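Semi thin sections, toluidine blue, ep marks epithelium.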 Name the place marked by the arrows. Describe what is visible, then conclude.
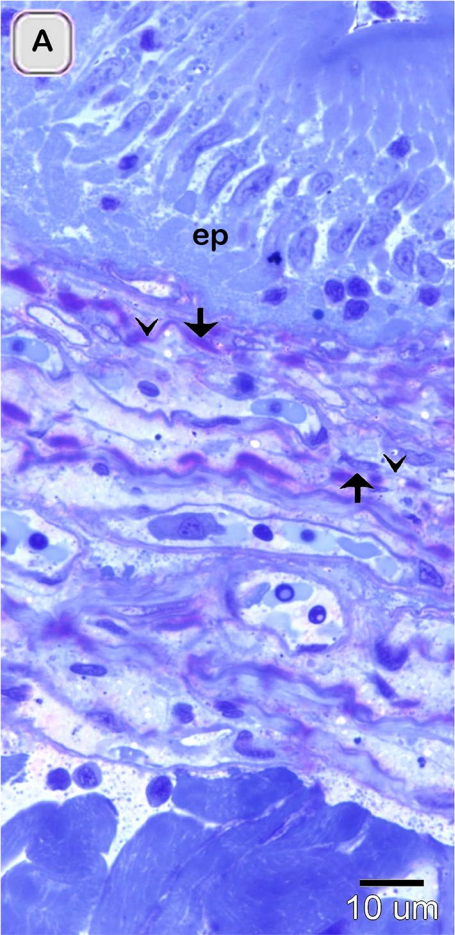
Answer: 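In the lamina propria. The arrows lie in the loose connective tissue directly beneath the epithelial layer.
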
